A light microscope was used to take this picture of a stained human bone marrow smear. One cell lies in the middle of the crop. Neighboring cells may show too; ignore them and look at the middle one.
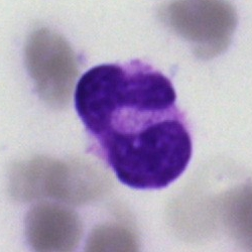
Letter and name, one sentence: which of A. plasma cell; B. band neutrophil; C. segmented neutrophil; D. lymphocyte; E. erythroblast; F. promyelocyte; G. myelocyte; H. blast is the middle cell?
As the central cell is a segmented neutrophil, option C is correct.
